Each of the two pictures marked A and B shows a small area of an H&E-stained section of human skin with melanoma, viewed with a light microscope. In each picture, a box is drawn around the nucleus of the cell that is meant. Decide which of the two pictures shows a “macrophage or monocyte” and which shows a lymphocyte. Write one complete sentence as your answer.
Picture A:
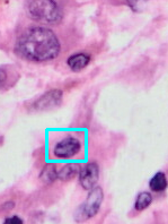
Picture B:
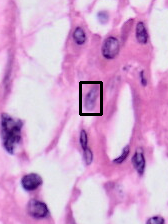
Picture A is of a lymphocyte, and picture B is of a “macrophage or monocyte”.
